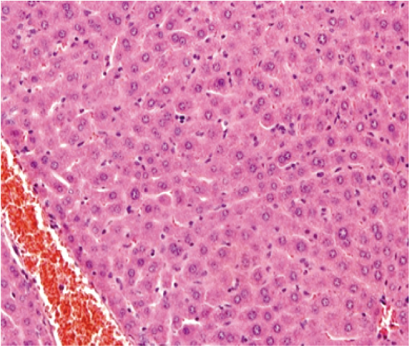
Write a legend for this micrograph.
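Liver tissue made of large polygonal hepatocytes with evenly pink cytoplasm and round, centrally placed purple nuclei, some with a visible nucleolus. The cells lie in compact cords separated by slit-like sinusoids, and a vessel packed with red blood cells runs along the lower left corner. No clear vacuoles interrupt the cytoplasm.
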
